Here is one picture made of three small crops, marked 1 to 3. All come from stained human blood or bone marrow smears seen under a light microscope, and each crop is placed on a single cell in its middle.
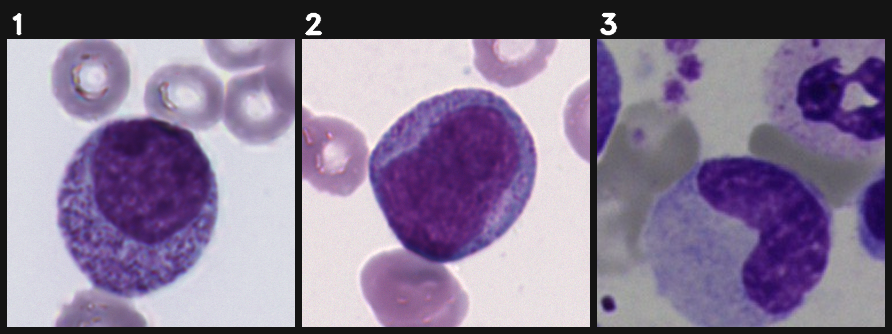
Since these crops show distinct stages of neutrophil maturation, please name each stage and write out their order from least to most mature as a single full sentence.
The sequence in which maturity rises is crop 2 (a promyelocyte), crop 1 (a myelocyte) and crop 3 (a band neutrophil).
